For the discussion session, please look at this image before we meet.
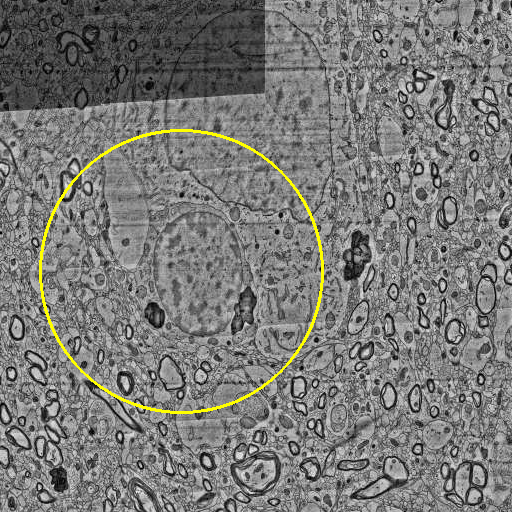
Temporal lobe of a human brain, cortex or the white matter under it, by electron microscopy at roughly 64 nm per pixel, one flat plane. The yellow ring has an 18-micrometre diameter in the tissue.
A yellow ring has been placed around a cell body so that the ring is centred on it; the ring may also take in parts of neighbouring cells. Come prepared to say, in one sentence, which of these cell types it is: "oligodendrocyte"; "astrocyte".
The cell centred in the ring is an oligodendrocyte.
